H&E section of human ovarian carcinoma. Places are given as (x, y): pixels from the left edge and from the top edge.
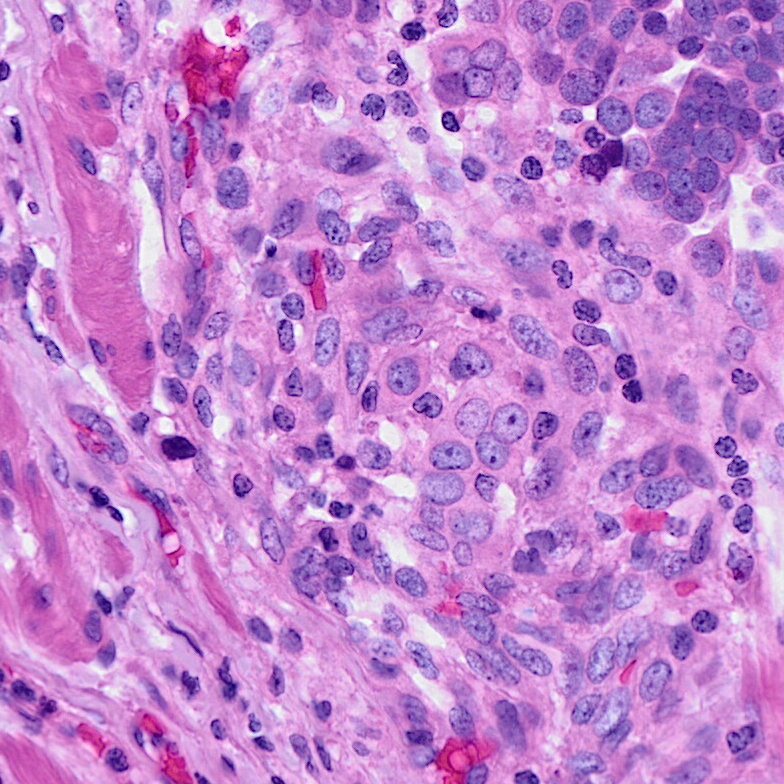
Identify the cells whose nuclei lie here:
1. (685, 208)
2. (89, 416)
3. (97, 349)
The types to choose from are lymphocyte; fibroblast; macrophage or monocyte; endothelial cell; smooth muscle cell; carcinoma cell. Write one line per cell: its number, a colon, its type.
1: carcinoma cell
2: endothelial cell
3: smooth muscle cell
